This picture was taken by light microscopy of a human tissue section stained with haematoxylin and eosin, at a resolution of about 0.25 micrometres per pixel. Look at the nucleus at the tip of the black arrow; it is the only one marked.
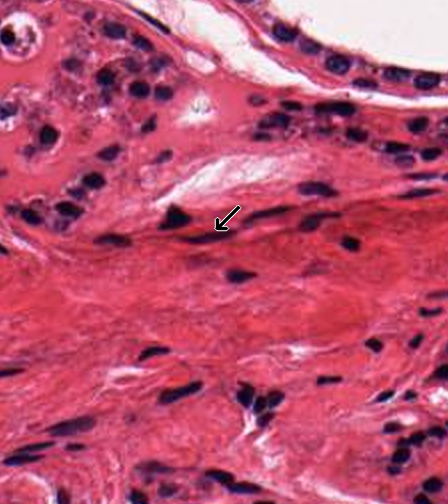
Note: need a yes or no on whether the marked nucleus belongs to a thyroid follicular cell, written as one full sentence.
No, it is not a thyroid follicular cell but a supporting cell to which the marked nucleus is assigned.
